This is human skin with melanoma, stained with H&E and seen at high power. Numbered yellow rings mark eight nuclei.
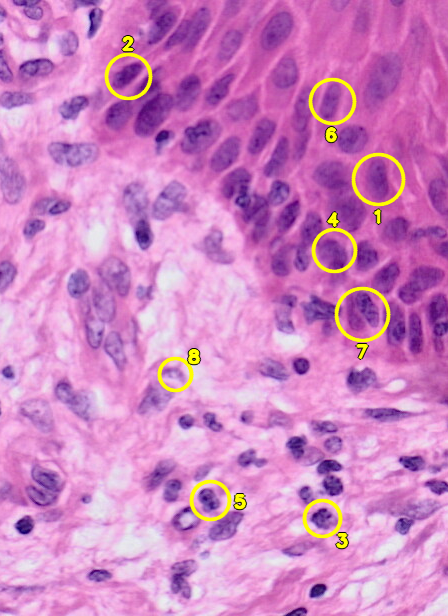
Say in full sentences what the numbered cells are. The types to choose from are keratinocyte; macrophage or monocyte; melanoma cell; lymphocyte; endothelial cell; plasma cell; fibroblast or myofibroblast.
Cells 1, 2, 4, 6 and 7 are keratinocytes. Cells 3 and 5 are lymphocytes. Cell 8 is a fibroblast or myofibroblast.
